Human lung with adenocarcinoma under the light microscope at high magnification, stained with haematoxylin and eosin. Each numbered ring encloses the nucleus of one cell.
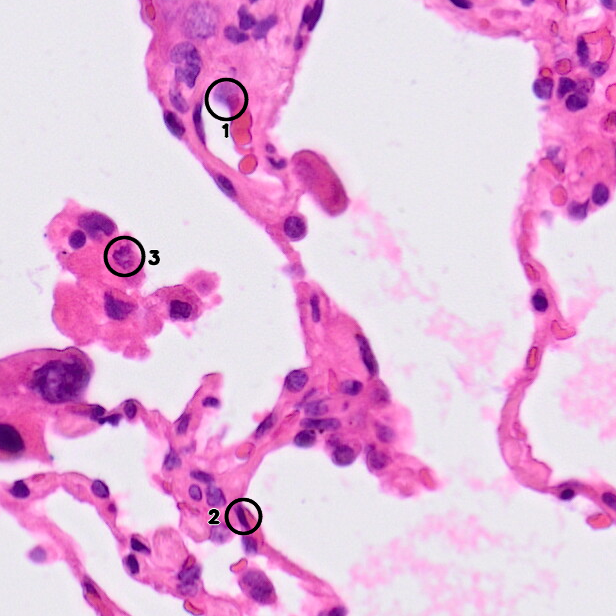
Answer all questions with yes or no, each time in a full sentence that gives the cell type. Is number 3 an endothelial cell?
No, the identification of cell 3 as an endothelial cell is incorrect; it is a macrophage or monocyte.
